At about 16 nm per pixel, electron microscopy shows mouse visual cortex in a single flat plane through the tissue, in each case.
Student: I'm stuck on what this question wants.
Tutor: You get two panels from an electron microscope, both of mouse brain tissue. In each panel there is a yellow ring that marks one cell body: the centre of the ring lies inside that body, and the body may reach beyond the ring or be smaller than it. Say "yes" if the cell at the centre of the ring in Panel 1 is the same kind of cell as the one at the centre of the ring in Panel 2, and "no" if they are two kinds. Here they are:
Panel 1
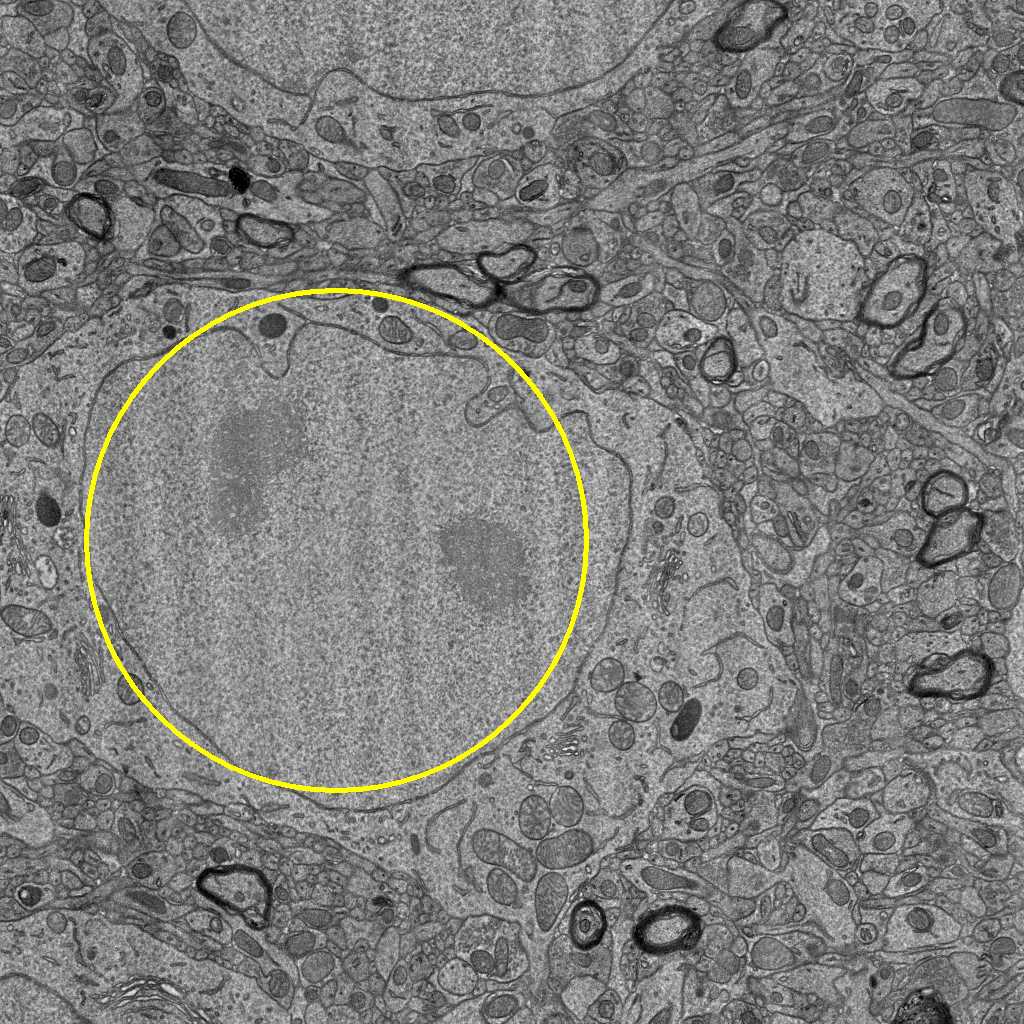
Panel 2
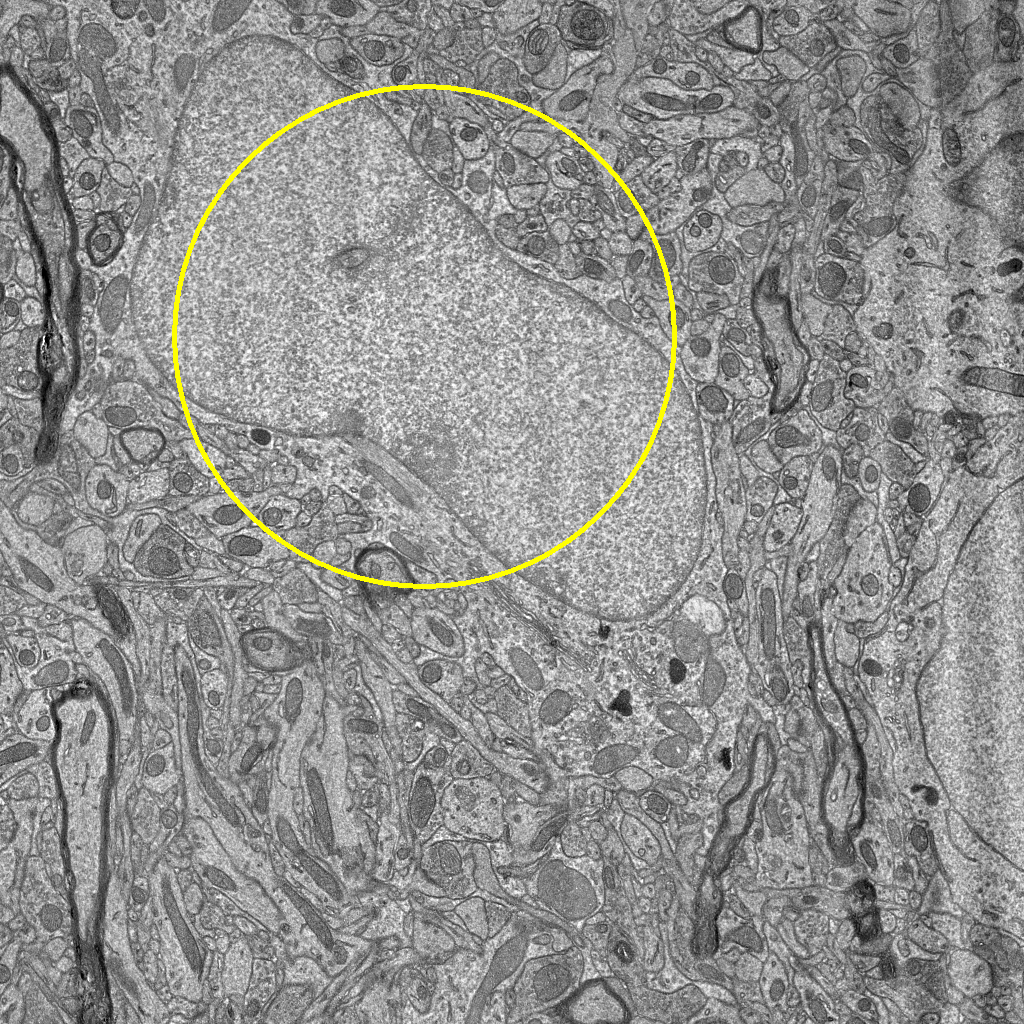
no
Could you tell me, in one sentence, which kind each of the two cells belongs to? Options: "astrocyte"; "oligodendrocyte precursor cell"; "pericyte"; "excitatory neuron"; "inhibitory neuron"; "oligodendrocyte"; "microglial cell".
For the first picture it is an excitatory neuron; for the second, an astrocyte.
